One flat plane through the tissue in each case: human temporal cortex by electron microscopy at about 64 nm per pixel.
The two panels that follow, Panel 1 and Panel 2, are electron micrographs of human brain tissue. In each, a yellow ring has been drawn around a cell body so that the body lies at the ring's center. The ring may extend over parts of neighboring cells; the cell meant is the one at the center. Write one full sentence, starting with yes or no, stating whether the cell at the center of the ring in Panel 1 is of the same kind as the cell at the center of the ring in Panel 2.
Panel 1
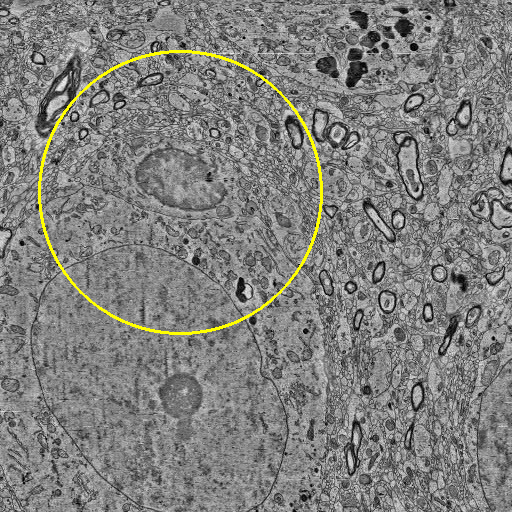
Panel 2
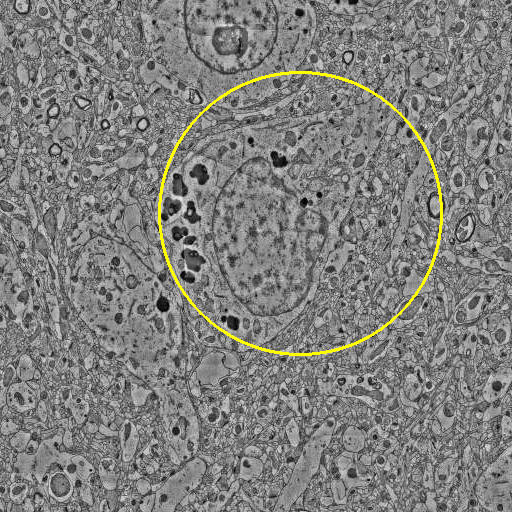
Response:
No, the cells in the two panels are of two kinds.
